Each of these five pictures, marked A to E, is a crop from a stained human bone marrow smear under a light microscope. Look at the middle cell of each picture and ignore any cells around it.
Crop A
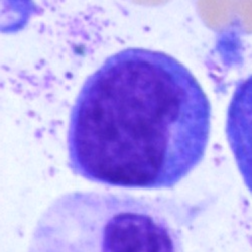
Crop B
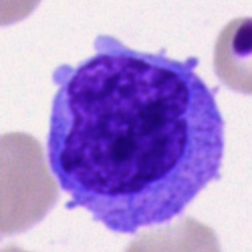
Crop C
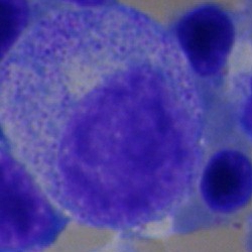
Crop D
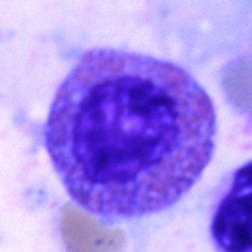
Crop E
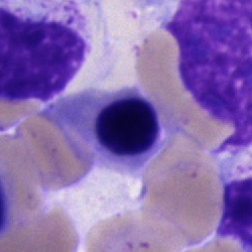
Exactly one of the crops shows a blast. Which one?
A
